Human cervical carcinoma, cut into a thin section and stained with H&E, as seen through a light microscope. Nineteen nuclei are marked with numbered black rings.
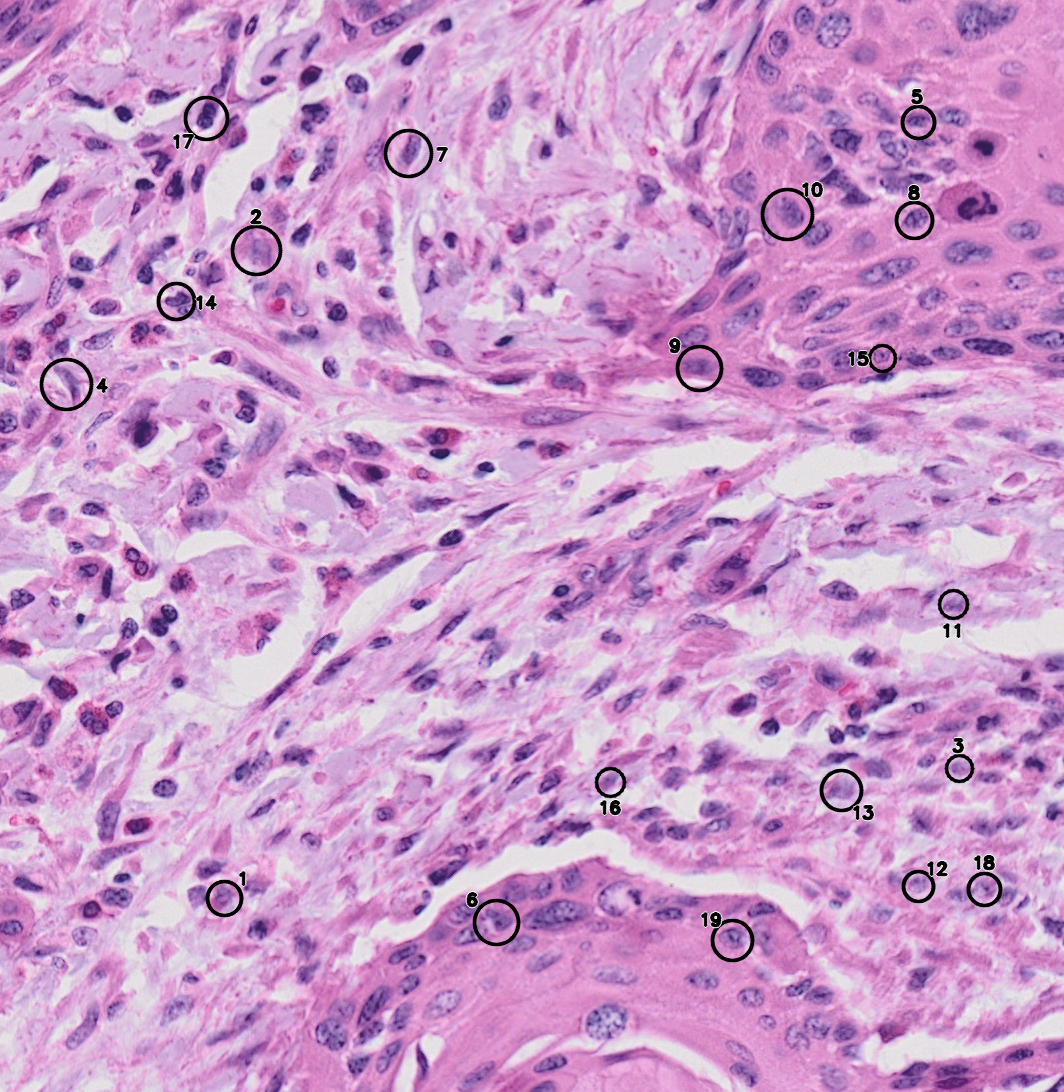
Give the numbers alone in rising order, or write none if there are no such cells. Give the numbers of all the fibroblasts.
3, 4, 11, 12, 13, 16, 18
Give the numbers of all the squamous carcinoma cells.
5, 6, 8, 9, 10, 15, 19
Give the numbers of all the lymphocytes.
14, 17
